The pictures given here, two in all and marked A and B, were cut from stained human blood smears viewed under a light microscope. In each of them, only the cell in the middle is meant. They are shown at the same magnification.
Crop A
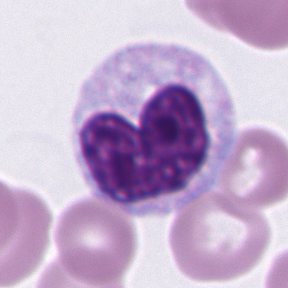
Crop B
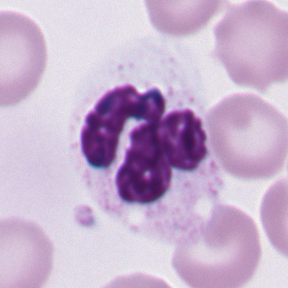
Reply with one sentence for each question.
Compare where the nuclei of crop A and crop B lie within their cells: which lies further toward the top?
Seen within its cell, the nucleus in crop B lies further toward the top.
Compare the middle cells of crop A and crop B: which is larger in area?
Larger is the cell in crop A, at roughly 1.5 times the area of the other.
